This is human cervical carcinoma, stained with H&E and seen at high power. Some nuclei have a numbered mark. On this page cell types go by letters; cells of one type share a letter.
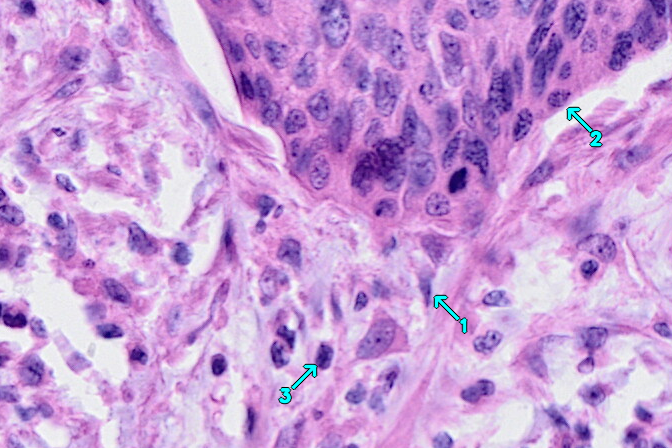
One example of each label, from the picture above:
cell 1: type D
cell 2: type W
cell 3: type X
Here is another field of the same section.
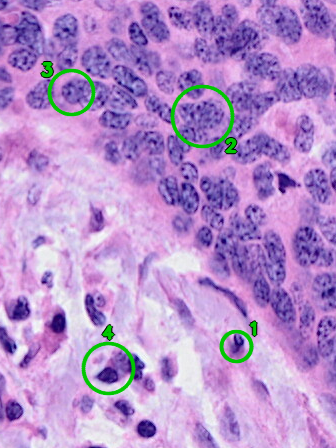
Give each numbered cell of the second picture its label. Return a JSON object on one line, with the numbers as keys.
{"1": "type X", "2": "type W", "3": "type W", "4": "type X"}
